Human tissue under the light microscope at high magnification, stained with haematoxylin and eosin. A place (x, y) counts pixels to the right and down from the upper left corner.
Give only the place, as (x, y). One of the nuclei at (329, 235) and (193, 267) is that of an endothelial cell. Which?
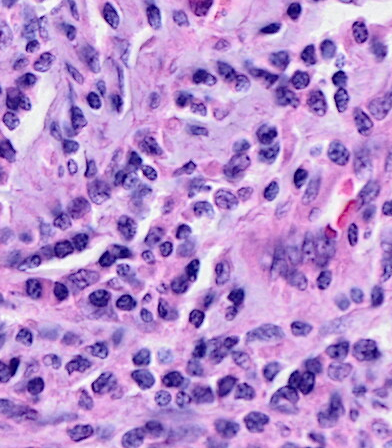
(329, 235)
